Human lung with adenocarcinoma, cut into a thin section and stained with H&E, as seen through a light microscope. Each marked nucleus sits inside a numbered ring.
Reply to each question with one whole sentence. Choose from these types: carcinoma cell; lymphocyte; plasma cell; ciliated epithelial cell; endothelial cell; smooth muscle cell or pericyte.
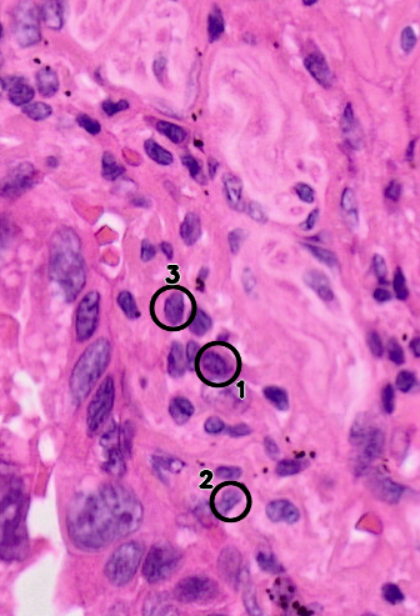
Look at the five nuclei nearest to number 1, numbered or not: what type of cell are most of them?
The majority of the five nuclei closest to number 1 belong to lymphocytes.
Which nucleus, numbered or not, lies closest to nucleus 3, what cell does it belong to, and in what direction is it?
A lymphocyte lies closest, below and to the right of nucleus 3.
